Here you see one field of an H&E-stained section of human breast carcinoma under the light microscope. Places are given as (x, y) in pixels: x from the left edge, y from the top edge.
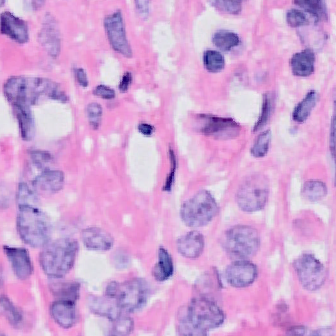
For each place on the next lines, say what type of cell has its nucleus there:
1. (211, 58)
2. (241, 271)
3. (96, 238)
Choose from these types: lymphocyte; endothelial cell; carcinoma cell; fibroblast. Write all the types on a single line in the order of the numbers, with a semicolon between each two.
lymphocyte; carcinoma cell; carcinoma cell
